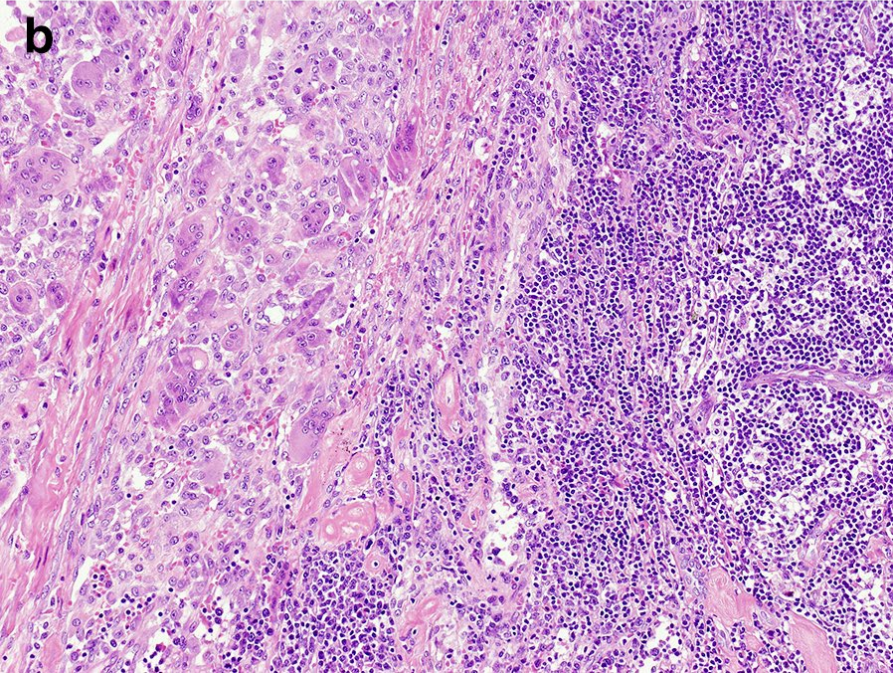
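Lower-power view of lymph node tissue with a pale pink cellular lesion on the left and dense dark-staining lymphoid tissue of small round lymphocytes on the right. The lesion consists of mononuclear cells with oval nuclei and pink cytoplasm intermixed with numerous multinucleate giant cells holding clusters of nuclei. Pink collagenous bands cross the lesion and run along its border with the lymphoid tissue.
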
